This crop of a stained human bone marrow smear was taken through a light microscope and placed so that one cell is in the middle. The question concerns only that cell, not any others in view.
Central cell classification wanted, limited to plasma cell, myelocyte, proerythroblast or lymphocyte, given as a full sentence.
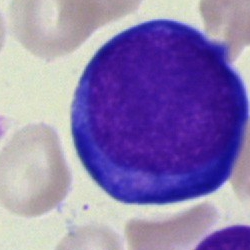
Seen at the centre of the crop is a proerythroblast.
